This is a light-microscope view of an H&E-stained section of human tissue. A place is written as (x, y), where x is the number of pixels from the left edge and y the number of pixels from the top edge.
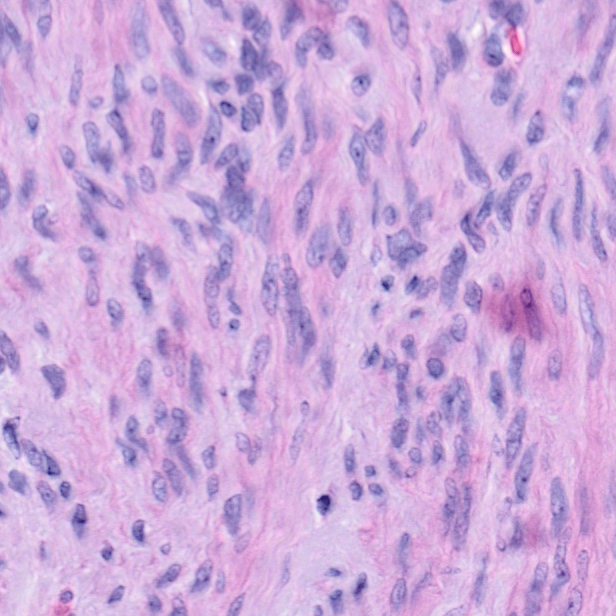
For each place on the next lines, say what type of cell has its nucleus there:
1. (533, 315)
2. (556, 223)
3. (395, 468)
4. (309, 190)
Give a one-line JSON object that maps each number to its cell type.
{"1": "smooth muscle cell", "2": "fibroblast", "3": "smooth muscle cell", "4": "smooth muscle cell"}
